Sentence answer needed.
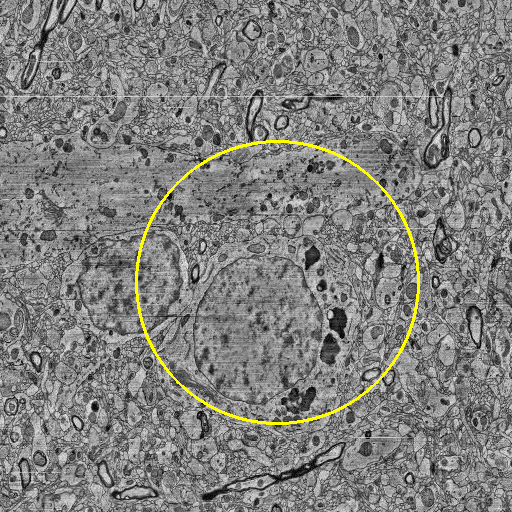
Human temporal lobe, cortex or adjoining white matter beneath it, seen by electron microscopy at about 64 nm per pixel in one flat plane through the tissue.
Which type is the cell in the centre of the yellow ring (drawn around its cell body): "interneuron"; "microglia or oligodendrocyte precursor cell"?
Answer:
In the centre of the yellow ring is an interneuron.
